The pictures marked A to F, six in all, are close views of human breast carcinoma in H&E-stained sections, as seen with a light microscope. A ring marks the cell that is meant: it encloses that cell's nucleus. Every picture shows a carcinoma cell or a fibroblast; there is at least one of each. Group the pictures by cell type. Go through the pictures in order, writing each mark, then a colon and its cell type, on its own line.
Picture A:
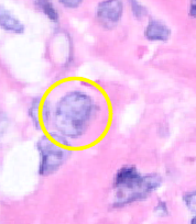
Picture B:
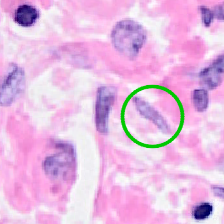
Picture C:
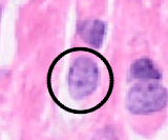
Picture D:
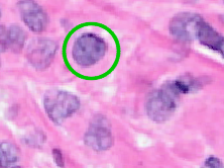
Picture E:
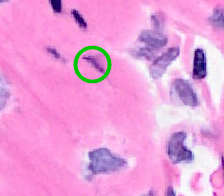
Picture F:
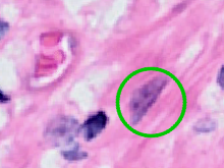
A: carcinoma cell
B: fibroblast
C: carcinoma cell
D: carcinoma cell
E: fibroblast
F: fibroblast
